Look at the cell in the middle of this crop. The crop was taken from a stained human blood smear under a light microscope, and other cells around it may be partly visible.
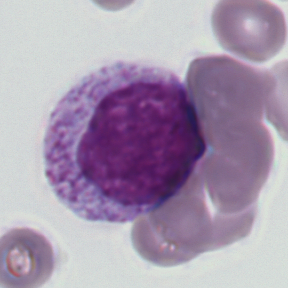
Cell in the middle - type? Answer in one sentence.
The cell nearest the centre of this crop is a myelocyte.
